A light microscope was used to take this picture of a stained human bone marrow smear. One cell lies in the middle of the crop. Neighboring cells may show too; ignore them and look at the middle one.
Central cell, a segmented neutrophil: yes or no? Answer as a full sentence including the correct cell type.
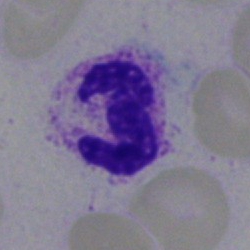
Yes, the cell in the centre is a segmented neutrophil.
